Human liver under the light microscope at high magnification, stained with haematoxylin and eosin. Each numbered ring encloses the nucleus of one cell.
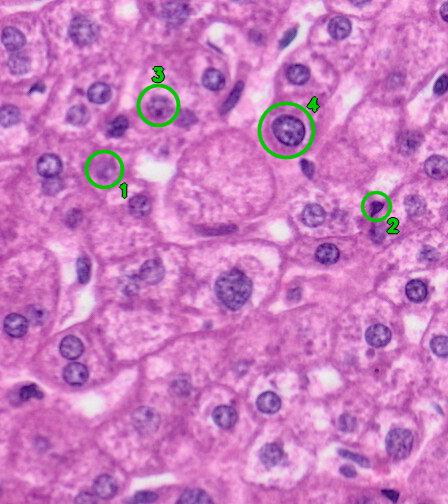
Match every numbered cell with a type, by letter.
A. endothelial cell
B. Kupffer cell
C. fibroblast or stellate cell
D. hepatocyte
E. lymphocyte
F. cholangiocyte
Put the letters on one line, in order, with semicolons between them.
D; C; D; D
